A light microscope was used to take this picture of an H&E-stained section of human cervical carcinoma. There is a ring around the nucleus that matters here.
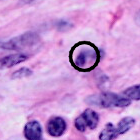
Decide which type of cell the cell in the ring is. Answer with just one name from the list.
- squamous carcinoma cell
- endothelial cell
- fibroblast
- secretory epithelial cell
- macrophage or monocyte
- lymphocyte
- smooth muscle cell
lymphocyte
